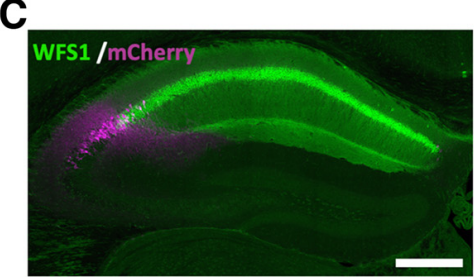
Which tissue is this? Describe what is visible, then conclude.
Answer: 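Hippocampus. Green labels a band of the curved cell layer.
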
